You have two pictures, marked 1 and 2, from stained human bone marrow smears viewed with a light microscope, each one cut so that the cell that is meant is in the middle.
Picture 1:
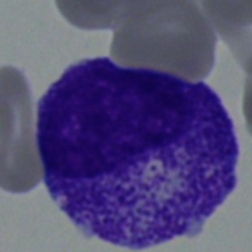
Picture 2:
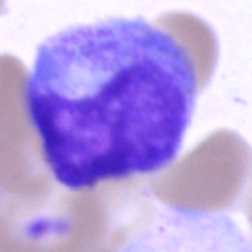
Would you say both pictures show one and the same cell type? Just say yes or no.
no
